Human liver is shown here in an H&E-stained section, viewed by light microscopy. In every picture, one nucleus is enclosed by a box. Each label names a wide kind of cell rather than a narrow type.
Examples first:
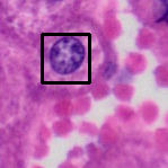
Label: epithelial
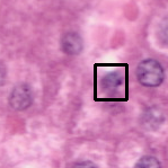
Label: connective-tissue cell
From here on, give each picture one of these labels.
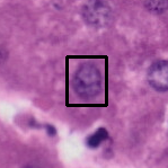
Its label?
epithelial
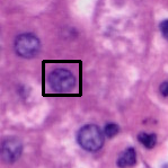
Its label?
epithelial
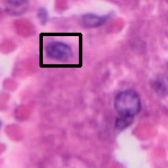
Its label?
connective-tissue cell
